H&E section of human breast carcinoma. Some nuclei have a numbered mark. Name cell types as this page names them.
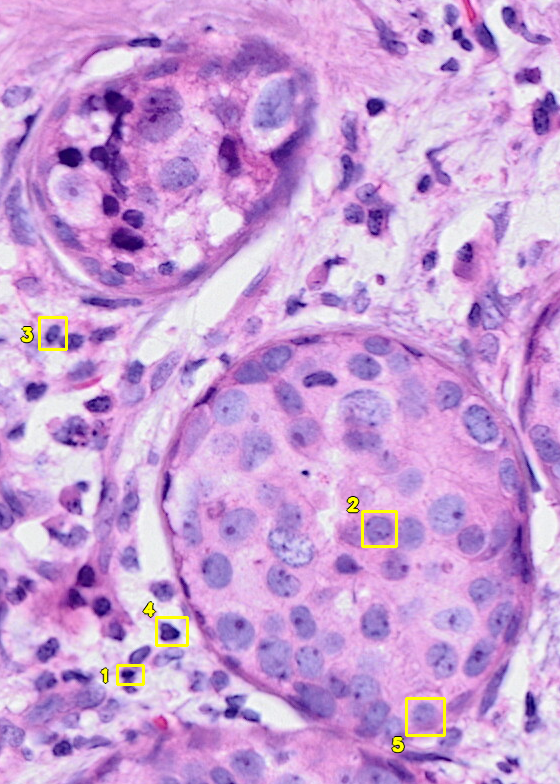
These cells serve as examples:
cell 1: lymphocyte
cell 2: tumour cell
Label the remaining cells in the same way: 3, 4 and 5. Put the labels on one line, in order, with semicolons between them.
lymphocyte; lymphocyte; tumour cell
